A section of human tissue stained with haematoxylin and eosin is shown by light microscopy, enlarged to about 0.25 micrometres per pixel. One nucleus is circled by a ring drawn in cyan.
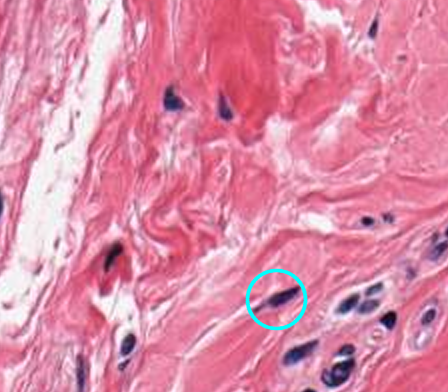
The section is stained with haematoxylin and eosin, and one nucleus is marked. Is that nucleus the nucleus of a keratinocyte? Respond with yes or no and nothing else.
no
